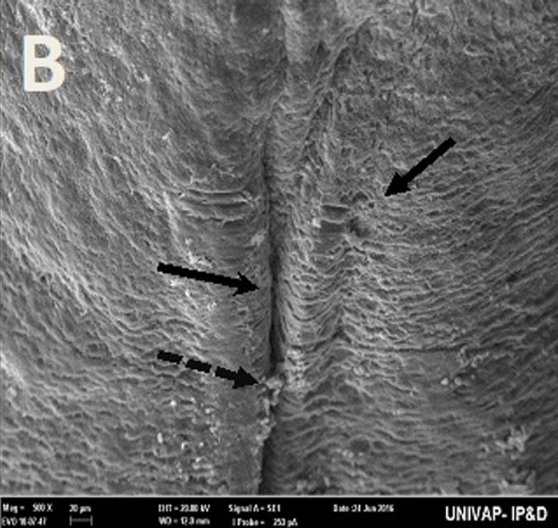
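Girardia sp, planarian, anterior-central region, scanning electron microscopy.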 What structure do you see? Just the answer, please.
Invagination on epidermis.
